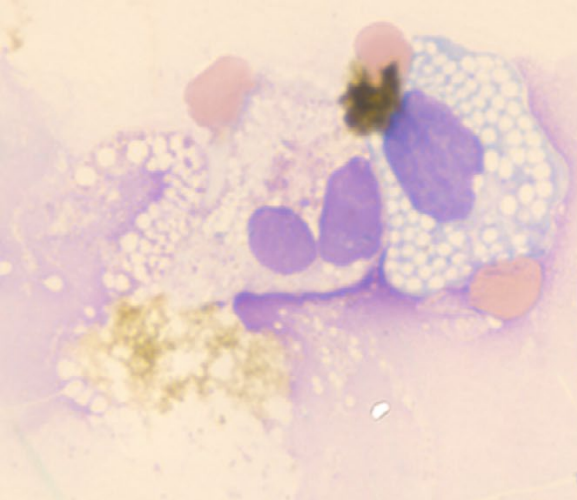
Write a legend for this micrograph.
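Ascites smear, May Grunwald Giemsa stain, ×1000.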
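The most striking cell has a single large oval purple nucleus and bluish cytoplasm filled with many round, clear vacuoles of similar size. Neighbouring cells also show foamy, vacuolated cytoplasm. A small dark greenish-brown clump and paler greenish granular material lie outside the cells.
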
